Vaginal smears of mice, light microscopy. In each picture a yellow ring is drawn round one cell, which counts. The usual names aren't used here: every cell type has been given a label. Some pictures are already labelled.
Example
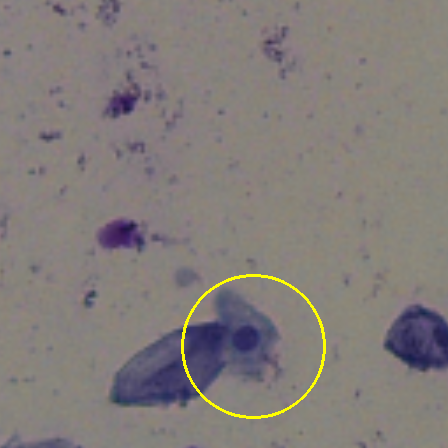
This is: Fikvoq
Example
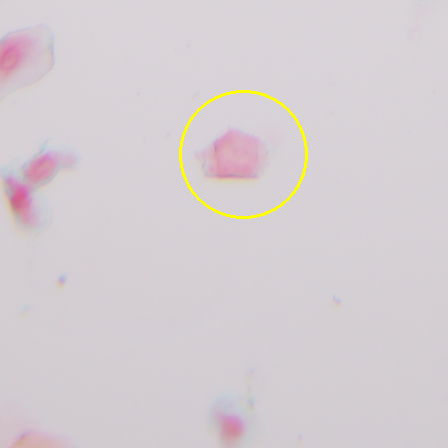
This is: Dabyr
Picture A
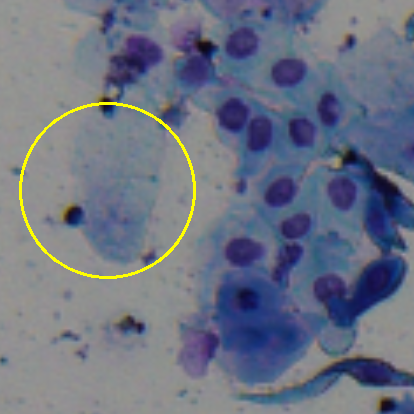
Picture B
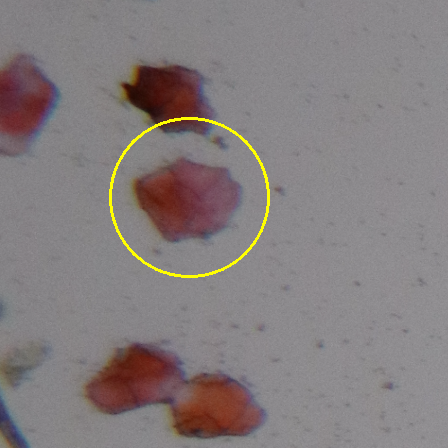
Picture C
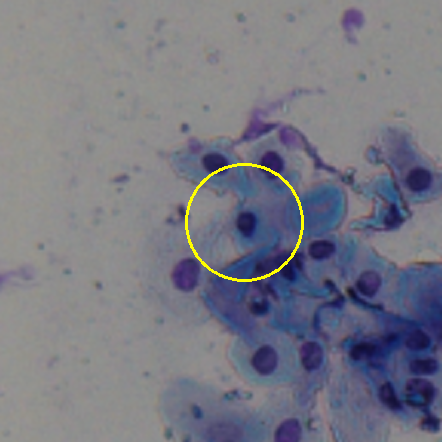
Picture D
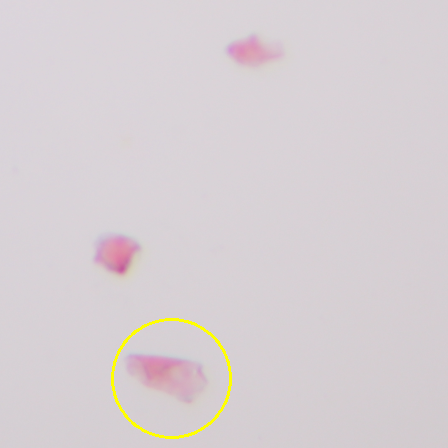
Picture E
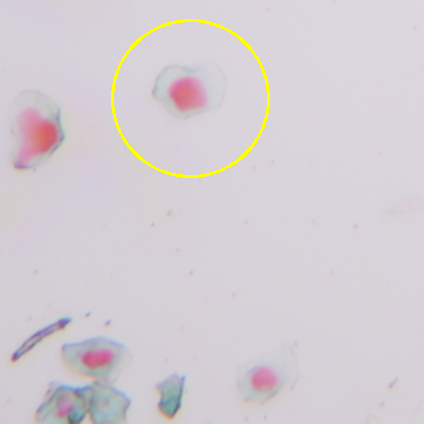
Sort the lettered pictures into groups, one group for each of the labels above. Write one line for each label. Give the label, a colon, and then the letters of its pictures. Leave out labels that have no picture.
Fikvoq: C, E
Dabyr: A, B, D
